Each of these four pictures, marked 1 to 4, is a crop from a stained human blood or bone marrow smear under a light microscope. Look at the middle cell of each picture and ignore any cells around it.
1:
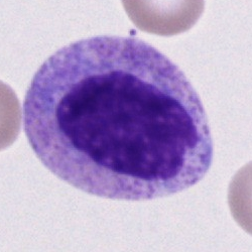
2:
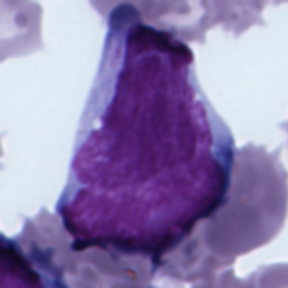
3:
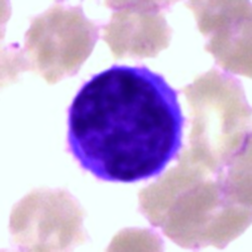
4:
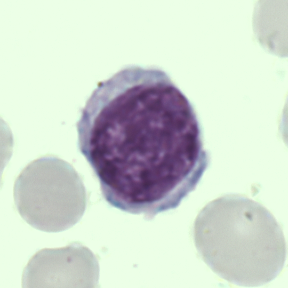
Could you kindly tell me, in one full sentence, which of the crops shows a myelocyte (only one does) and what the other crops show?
In crop 1, the cell at the centre is a myelocyte, while crop 2 is a blast, crop 3 is a lymphocyte and crop 4 is a plasma cell.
